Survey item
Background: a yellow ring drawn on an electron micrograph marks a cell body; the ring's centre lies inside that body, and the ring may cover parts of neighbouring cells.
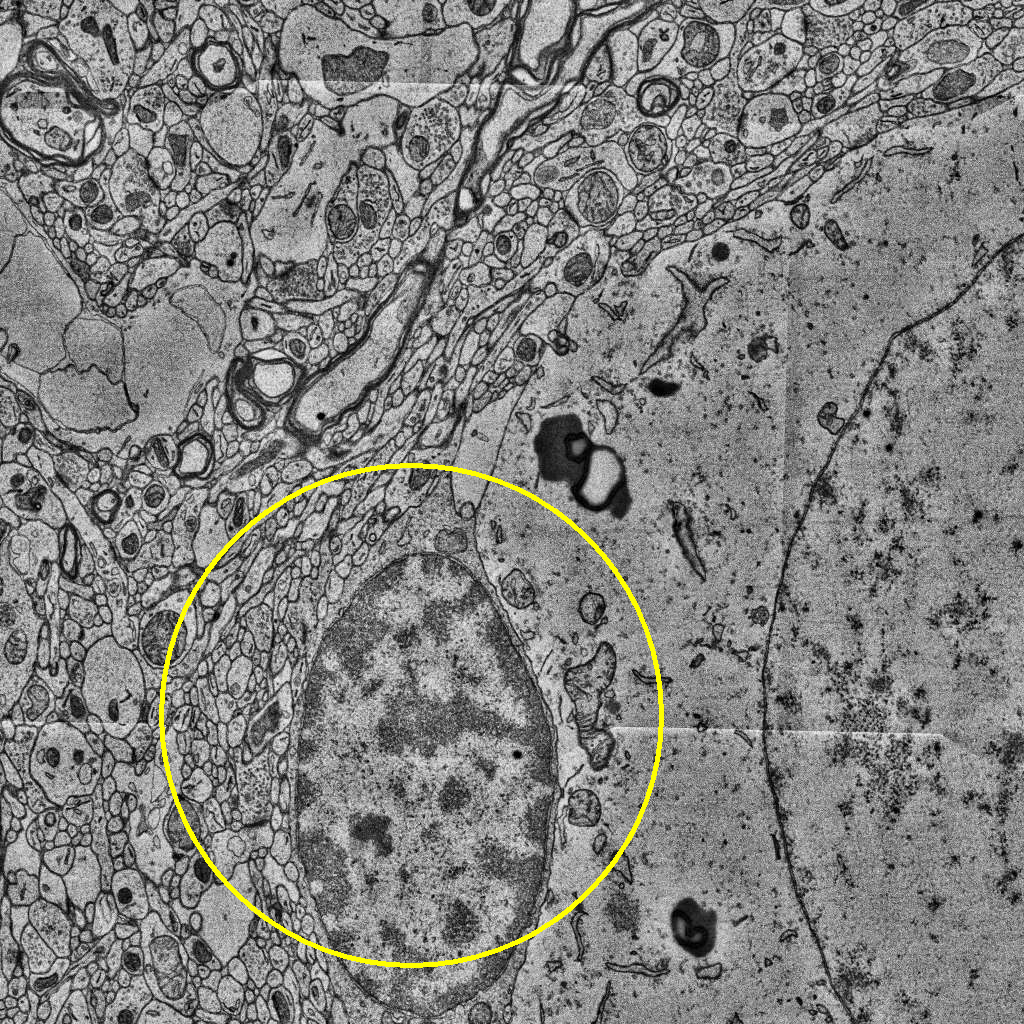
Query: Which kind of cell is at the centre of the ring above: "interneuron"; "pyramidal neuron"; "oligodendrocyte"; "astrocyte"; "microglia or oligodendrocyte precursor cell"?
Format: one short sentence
The cell in the middle of the ring is an oligodendrocyte.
